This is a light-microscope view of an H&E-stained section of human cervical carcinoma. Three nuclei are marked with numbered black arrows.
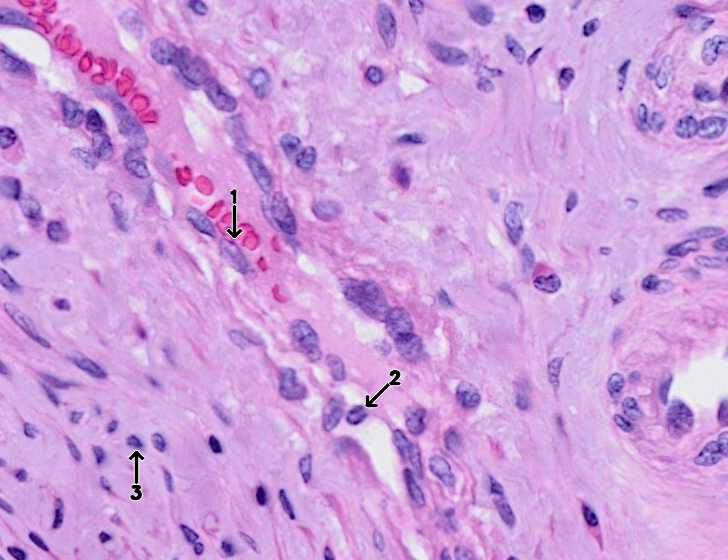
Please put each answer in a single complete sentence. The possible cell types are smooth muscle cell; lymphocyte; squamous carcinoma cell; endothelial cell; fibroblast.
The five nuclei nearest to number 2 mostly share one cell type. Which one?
Most of the five nuclei nearest to number 2 are those of endothelial cells.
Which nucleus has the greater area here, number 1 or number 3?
Nucleus 1 is larger, with an area about 3 times that of nucleus 3.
